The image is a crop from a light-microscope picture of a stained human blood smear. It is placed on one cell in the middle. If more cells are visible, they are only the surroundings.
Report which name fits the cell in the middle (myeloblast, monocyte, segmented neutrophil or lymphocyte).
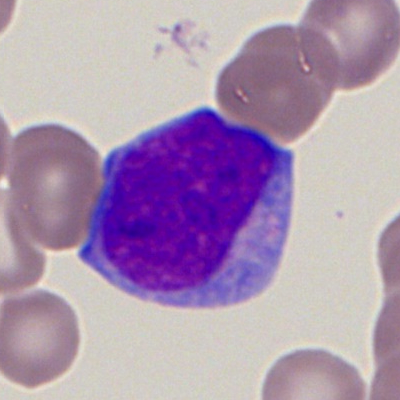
myeloblast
